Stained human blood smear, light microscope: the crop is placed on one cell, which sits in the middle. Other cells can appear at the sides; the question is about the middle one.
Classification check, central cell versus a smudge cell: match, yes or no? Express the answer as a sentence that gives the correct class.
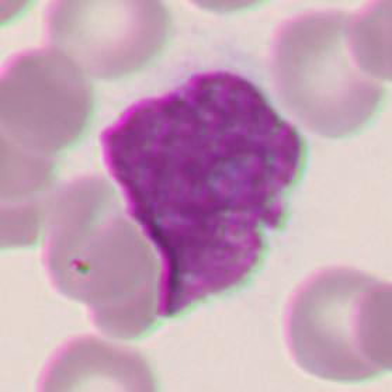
Yes, this central cell is a smudge cell.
